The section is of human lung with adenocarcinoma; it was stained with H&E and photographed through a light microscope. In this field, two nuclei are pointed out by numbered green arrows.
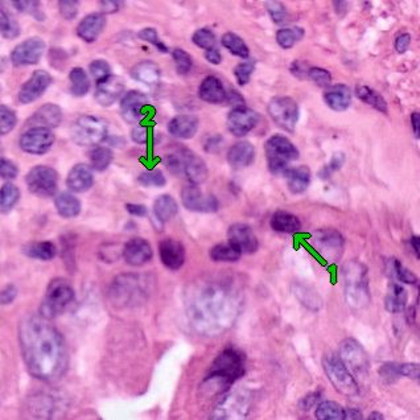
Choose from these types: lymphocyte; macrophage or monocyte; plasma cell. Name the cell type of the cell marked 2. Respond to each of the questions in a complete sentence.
Marked with the number 2, this cell is a lymphocyte.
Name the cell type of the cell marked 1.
Belonging to a plasma cell is the nucleus that carries the number 1.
